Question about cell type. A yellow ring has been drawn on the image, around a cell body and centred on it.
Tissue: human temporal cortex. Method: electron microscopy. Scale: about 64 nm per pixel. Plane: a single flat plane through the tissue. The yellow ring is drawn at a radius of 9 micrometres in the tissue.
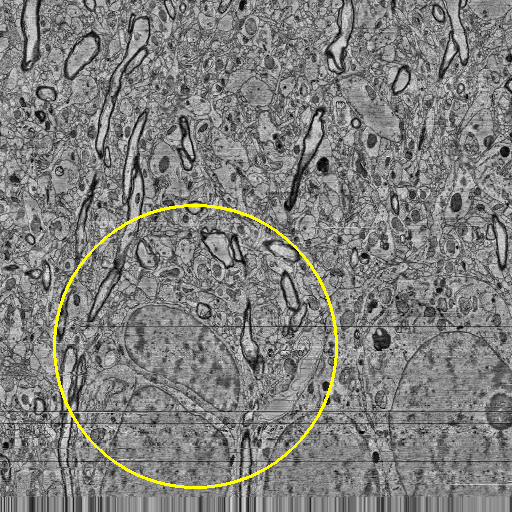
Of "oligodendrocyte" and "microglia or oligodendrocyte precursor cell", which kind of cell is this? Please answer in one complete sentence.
At the centre of the ring lies an oligodendrocyte.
